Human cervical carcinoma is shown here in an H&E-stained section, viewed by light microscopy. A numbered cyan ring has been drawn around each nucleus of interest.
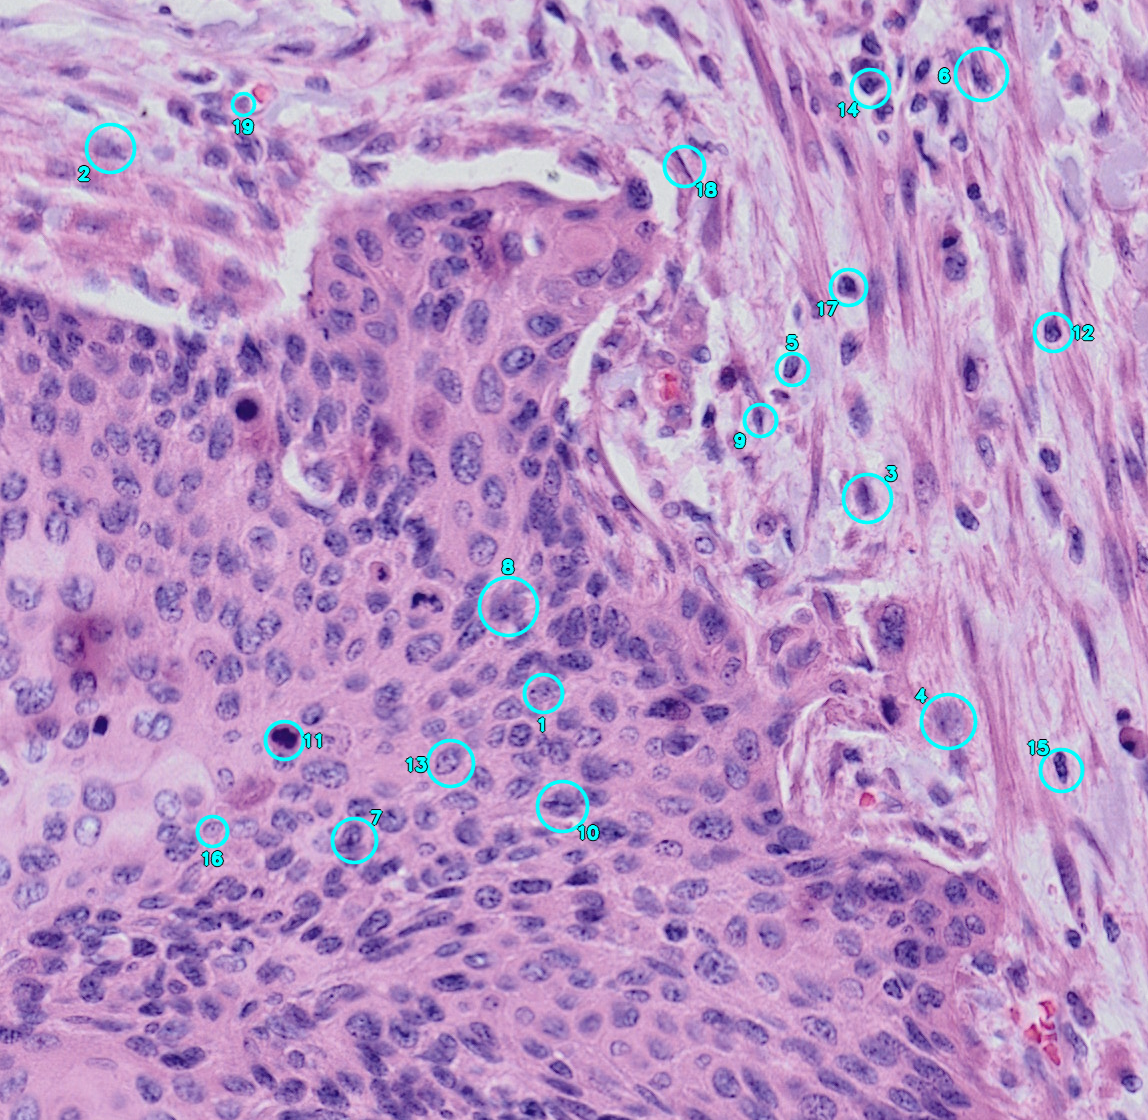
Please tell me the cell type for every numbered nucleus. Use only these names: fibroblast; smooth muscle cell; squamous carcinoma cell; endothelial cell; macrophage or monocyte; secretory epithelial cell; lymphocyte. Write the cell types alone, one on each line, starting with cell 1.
squamous carcinoma cell
fibroblast
fibroblast
fibroblast
lymphocyte
macrophage or monocyte
squamous carcinoma cell
squamous carcinoma cell
fibroblast
squamous carcinoma cell
squamous carcinoma cell
lymphocyte
squamous carcinoma cell
lymphocyte
lymphocyte
squamous carcinoma cell
lymphocyte
fibroblast
endothelial cell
